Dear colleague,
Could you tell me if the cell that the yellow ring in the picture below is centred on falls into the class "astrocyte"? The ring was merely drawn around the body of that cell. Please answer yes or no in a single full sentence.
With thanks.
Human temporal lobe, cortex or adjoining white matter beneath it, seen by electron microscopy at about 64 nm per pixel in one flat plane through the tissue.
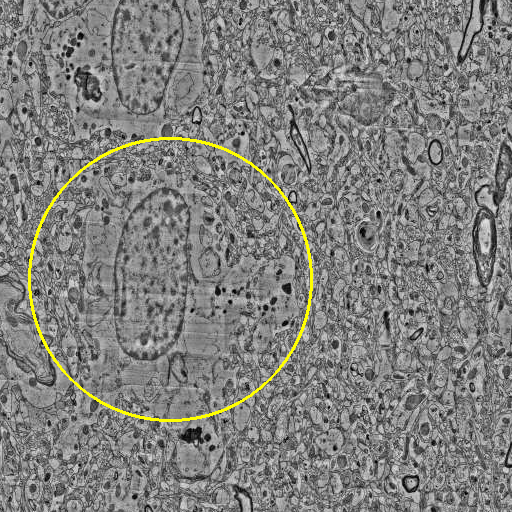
Yes, the cell on which the ring in your picture is centred falls into that class.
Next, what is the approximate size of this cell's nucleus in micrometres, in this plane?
The nucleus is approximately 11 micrometres long but only about 5 wide, clearly longer than it is wide in this plane.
